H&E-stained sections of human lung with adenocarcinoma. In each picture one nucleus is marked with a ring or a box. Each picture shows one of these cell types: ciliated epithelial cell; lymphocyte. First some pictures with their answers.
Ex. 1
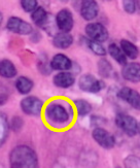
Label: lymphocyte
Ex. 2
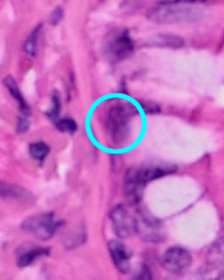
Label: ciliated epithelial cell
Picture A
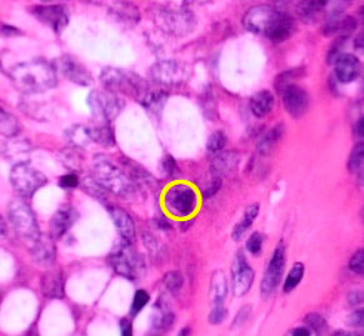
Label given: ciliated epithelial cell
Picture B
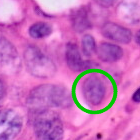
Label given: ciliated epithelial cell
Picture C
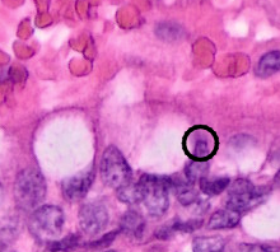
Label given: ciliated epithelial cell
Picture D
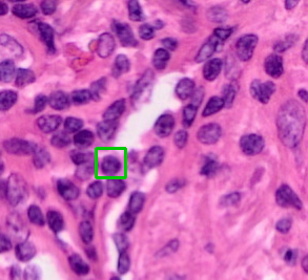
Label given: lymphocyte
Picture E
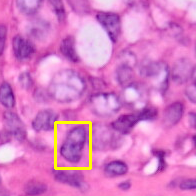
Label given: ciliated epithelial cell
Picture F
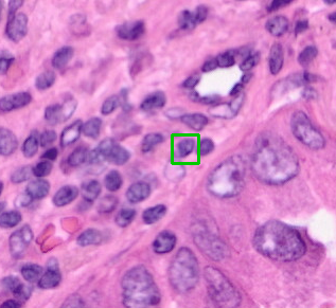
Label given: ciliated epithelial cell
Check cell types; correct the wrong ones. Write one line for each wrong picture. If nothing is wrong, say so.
F: not ciliated epithelial cell but lymphocyte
